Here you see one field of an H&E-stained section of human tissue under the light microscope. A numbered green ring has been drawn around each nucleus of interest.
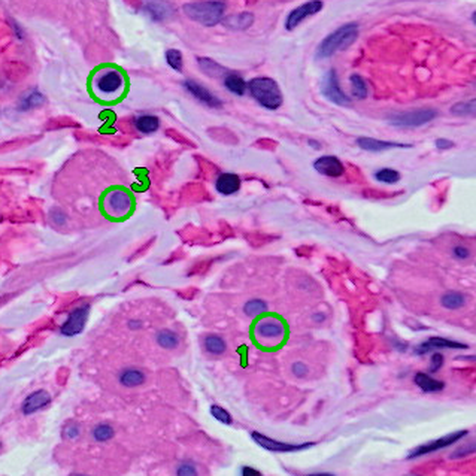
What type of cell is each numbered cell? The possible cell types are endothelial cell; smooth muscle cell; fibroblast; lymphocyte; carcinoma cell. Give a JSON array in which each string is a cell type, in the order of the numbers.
["smooth muscle cell", "lymphocyte", "smooth muscle cell"]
